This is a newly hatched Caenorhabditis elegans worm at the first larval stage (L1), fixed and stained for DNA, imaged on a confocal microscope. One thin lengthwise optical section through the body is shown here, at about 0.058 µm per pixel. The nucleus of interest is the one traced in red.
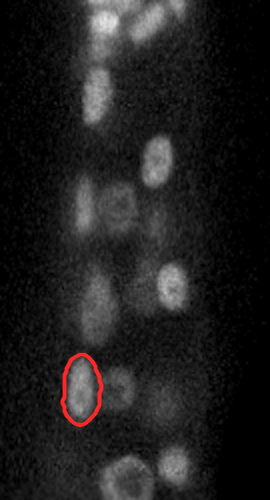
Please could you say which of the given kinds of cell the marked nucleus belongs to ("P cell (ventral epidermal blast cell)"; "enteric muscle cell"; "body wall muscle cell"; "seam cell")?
body wall muscle cell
